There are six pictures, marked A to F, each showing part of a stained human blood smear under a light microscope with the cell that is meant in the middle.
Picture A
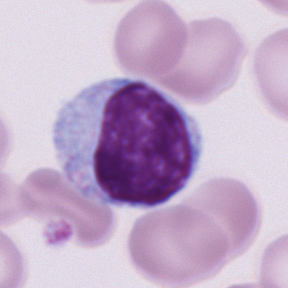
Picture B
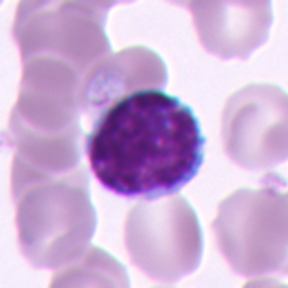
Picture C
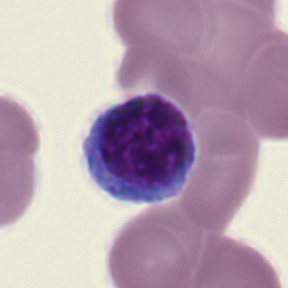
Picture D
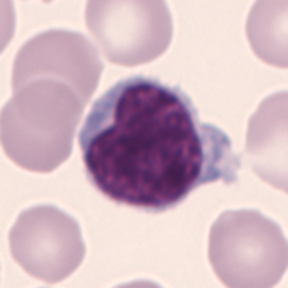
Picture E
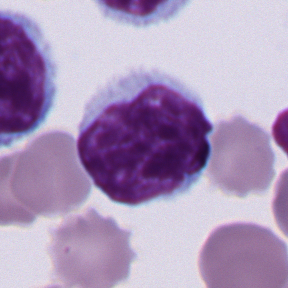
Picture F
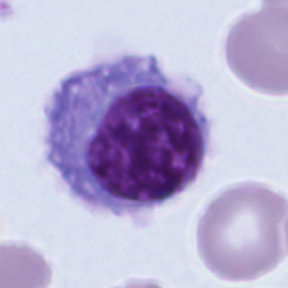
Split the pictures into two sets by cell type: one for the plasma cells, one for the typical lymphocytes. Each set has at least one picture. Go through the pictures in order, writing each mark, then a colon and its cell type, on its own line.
A: typical lymphocyte
B: typical lymphocyte
C: plasma cell
D: typical lymphocyte
E: typical lymphocyte
F: plasma cell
